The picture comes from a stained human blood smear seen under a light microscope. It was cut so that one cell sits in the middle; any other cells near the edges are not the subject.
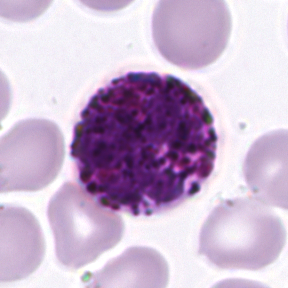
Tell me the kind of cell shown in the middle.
basophil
